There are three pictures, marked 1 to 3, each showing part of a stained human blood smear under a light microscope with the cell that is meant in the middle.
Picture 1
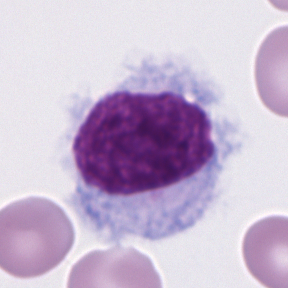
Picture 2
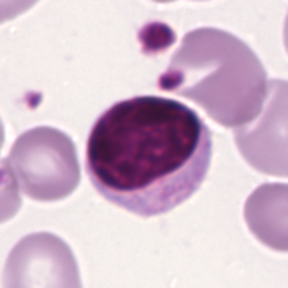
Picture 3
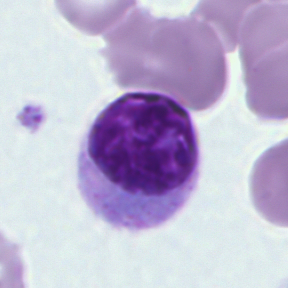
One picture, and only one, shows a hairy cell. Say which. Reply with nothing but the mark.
1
